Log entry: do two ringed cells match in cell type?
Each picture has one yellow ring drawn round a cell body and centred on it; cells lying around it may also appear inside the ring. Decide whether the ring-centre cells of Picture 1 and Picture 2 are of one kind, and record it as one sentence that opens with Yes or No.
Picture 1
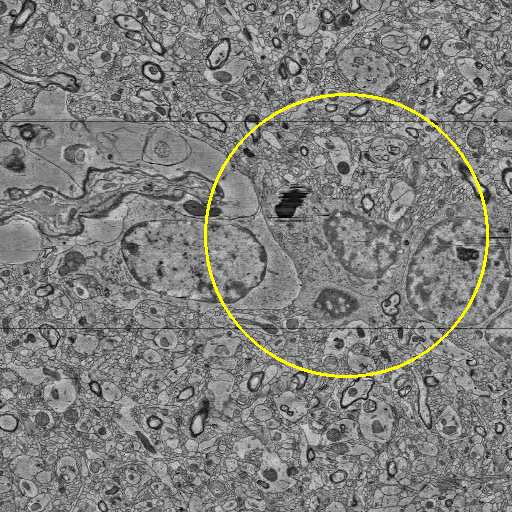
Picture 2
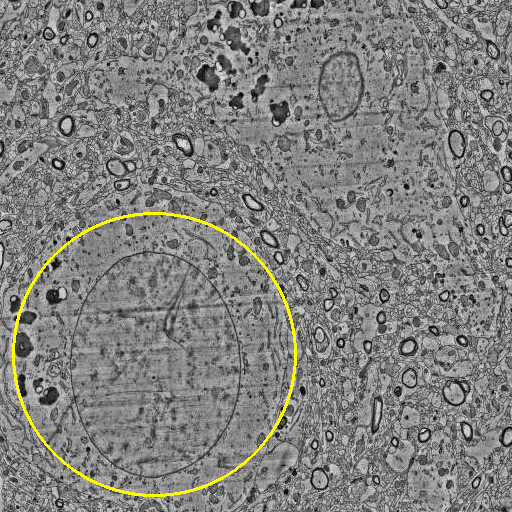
No, the cells at the ring centres of the two pictures belong to two kinds.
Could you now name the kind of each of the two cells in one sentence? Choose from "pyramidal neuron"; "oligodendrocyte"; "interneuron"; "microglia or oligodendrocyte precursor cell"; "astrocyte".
The first ring encloses an oligodendrocyte; the second ring encloses a pyramidal neuron.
